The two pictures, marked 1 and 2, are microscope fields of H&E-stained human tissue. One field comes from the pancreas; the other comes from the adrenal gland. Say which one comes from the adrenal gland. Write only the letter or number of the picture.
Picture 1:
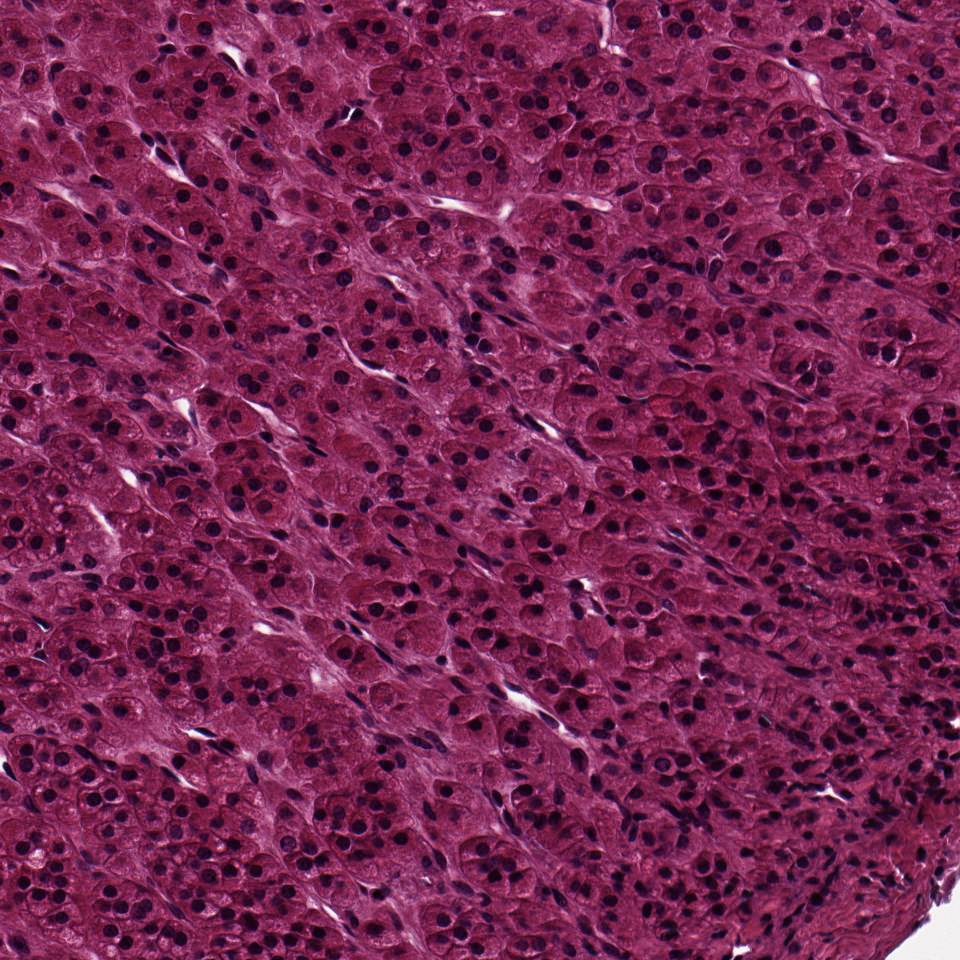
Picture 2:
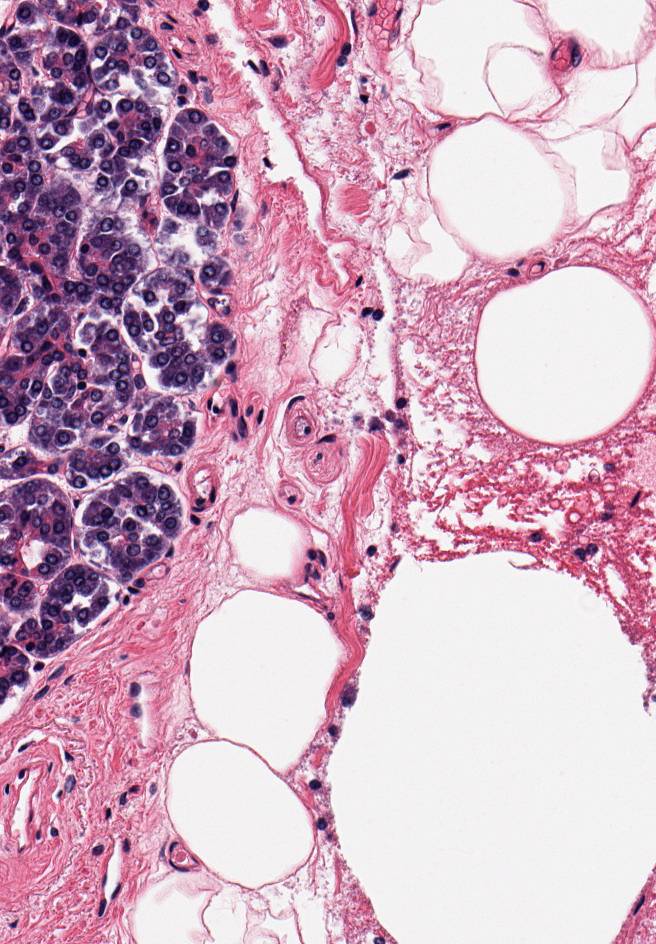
1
